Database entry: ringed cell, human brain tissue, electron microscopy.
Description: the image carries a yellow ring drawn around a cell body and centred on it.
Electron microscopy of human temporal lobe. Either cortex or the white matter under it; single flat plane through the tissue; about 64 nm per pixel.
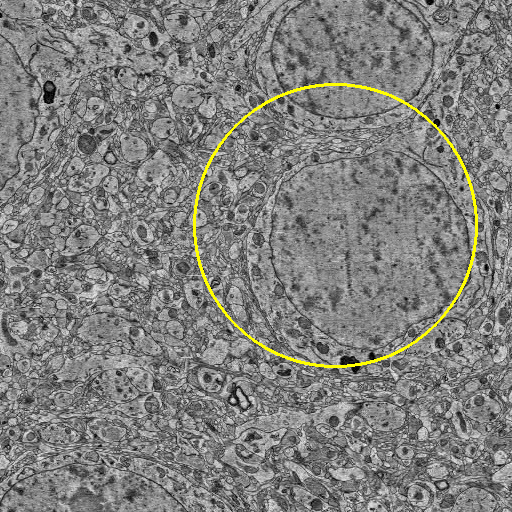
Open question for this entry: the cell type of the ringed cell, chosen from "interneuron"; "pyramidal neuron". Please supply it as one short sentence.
The ringed cell is a pyramidal neuron.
